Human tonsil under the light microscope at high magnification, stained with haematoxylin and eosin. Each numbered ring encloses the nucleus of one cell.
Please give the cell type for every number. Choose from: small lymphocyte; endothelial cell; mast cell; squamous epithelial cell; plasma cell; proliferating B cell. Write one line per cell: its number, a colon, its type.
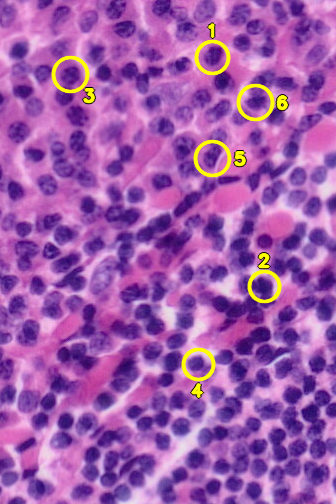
1: plasma cell
2: small lymphocyte
3: plasma cell
4: small lymphocyte
5: plasma cell
6: plasma cell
